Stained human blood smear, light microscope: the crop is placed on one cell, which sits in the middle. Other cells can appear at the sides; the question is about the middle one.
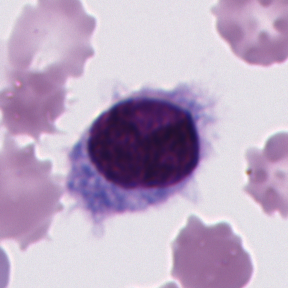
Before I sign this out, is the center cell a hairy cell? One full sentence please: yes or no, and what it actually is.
Yes, the identity of the central cell is that of a hairy cell.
